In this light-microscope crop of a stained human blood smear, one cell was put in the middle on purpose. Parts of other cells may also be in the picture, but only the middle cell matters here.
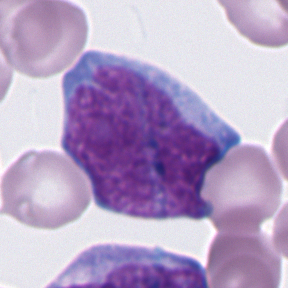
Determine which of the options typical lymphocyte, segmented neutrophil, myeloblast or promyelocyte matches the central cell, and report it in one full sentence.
Seen at the centre of the crop is a myeloblast.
